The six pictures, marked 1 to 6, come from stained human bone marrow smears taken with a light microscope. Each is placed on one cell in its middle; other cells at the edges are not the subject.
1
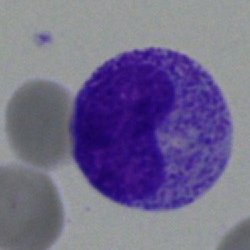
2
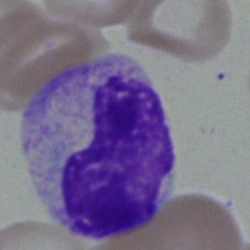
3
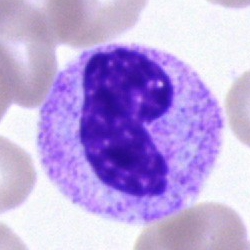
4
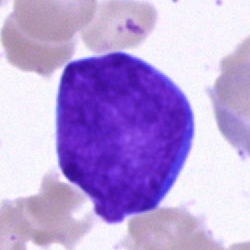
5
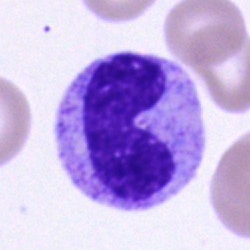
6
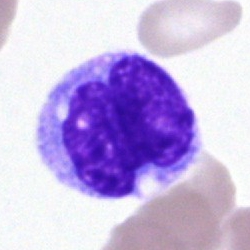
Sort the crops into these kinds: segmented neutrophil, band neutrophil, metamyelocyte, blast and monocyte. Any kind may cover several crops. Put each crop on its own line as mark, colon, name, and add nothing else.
1: metamyelocyte
2: metamyelocyte
3: band neutrophil
4: blast
5: band neutrophil
6: monocyte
